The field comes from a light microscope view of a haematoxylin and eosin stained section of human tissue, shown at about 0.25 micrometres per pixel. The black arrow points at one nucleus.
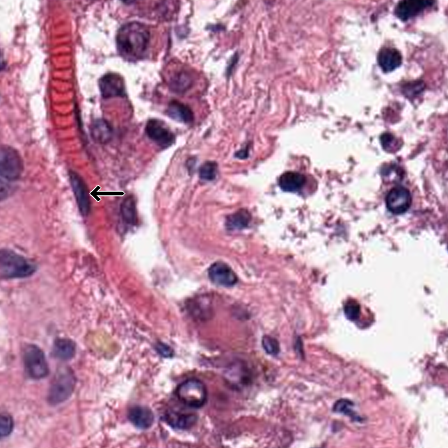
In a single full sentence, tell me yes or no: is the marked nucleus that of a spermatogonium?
No, a supporting cell is the one to which the marked nucleus belongs, not a spermatogonium.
